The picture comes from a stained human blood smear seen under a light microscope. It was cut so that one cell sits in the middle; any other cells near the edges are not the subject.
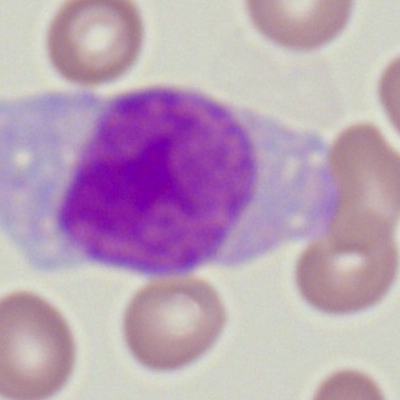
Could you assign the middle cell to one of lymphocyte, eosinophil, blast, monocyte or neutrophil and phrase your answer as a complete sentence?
The middle of this crop is occupied by a monocyte.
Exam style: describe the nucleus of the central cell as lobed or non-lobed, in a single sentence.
The nuclear material is gathered into one compact round, oval or kidney-shaped mass.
